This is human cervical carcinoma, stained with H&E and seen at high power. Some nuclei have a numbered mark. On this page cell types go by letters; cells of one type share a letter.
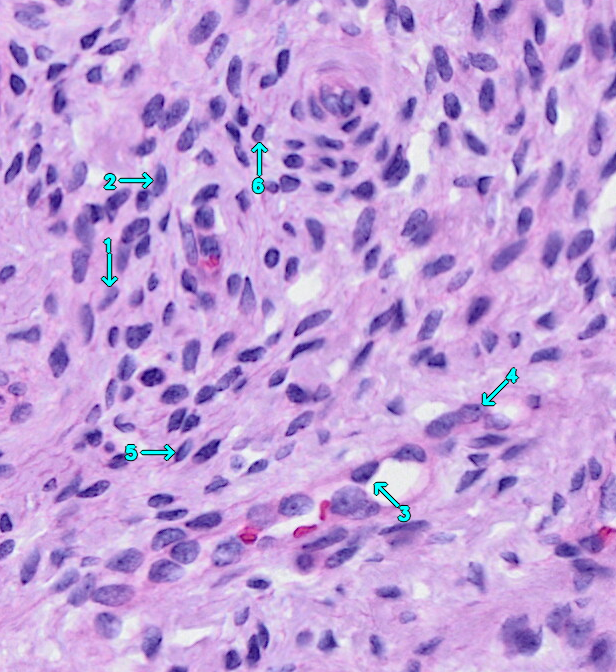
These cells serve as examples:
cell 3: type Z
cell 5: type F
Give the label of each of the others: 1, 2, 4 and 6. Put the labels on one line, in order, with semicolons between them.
type F; type F; type Z; type F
